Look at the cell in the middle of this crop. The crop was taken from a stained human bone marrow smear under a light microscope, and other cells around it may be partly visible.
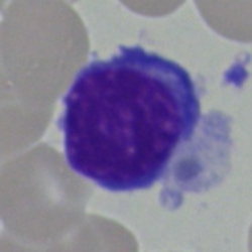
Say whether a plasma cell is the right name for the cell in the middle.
yes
